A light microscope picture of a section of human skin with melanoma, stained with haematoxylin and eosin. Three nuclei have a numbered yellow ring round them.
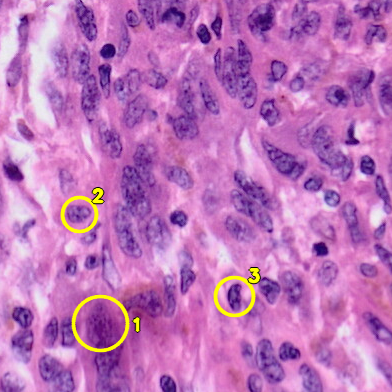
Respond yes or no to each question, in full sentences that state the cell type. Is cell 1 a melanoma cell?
Yes, to put it simply, cell number 1 is a melanoma cell.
